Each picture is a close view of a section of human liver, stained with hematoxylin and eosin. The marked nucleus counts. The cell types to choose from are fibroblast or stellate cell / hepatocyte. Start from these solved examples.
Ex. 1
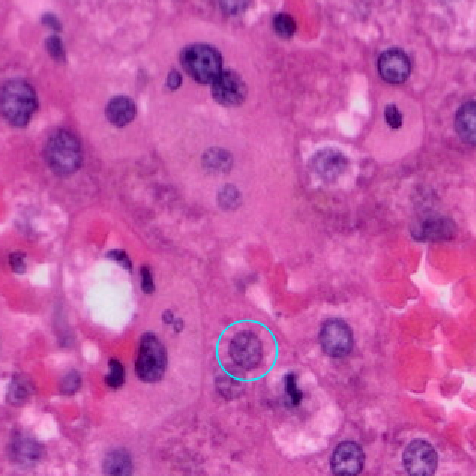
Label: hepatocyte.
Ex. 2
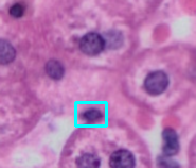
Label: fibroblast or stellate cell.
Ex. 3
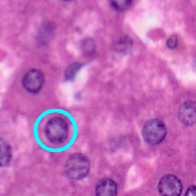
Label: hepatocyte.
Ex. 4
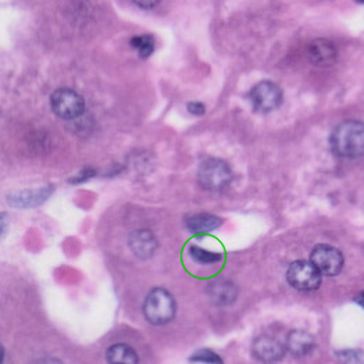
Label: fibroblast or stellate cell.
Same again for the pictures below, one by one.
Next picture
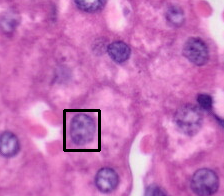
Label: hepatocyte.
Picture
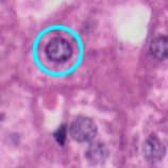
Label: hepatocyte.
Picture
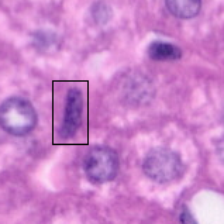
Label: fibroblast or stellate cell.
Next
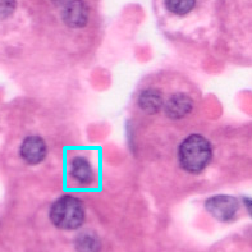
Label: fibroblast or stellate cell.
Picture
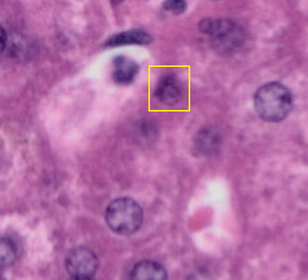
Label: fibroblast or stellate cell.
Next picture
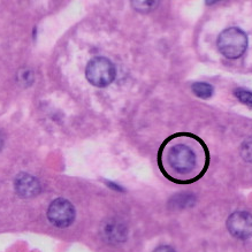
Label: hepatocyte.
